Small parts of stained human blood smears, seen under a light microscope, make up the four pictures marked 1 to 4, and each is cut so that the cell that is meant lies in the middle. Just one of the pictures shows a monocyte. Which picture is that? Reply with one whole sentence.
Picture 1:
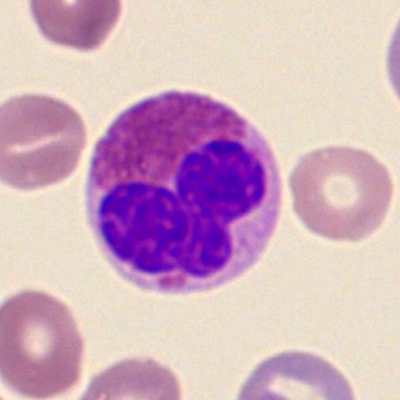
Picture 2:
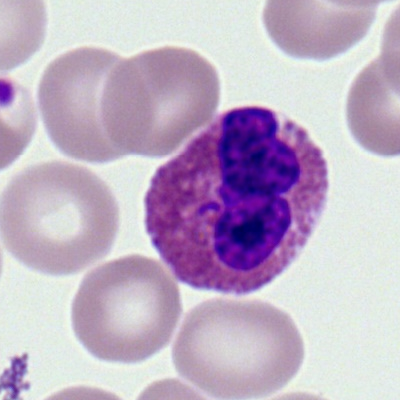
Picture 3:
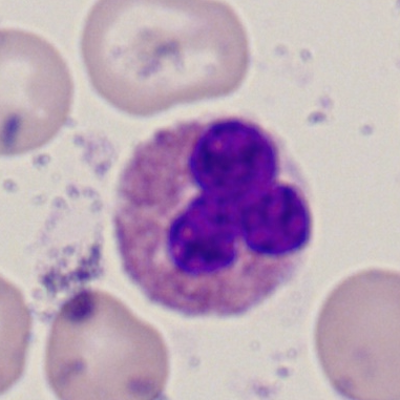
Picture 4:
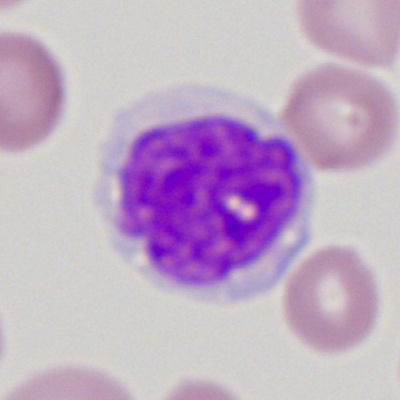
It is picture 4 that shows the monocyte.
